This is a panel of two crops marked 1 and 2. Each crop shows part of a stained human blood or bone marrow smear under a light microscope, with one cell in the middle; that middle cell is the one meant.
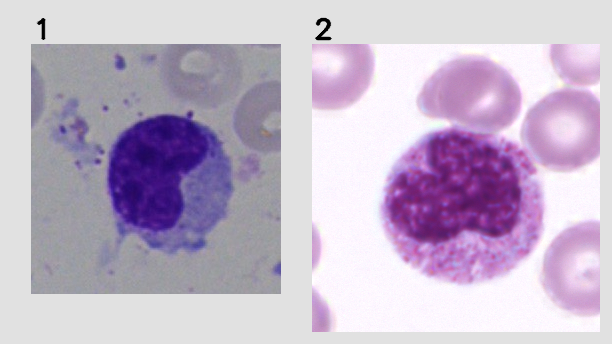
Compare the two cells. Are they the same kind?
no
